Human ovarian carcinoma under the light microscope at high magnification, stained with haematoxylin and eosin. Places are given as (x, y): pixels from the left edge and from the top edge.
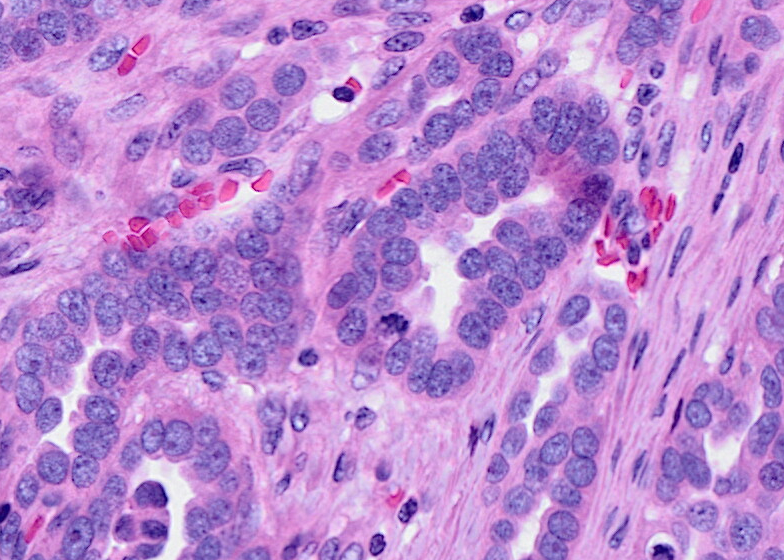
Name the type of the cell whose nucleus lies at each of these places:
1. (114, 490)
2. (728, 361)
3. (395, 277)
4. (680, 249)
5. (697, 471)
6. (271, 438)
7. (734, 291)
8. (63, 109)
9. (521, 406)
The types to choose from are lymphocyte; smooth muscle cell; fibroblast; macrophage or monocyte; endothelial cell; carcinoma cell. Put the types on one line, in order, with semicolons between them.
carcinoma cell; fibroblast; carcinoma cell; fibroblast; carcinoma cell; fibroblast; fibroblast; fibroblast; carcinoma cell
